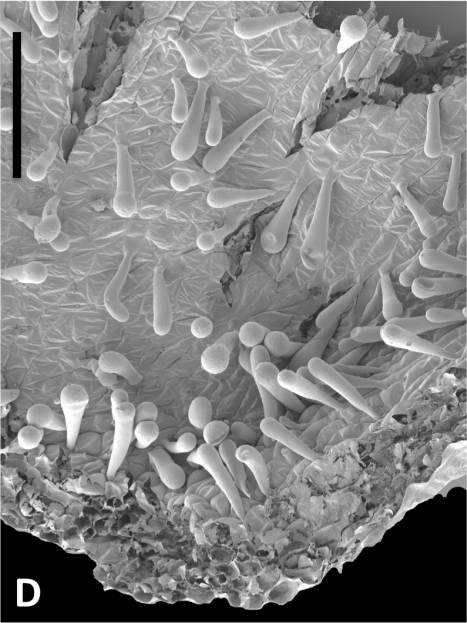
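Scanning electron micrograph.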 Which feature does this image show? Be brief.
Club-shaped glandular papillae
